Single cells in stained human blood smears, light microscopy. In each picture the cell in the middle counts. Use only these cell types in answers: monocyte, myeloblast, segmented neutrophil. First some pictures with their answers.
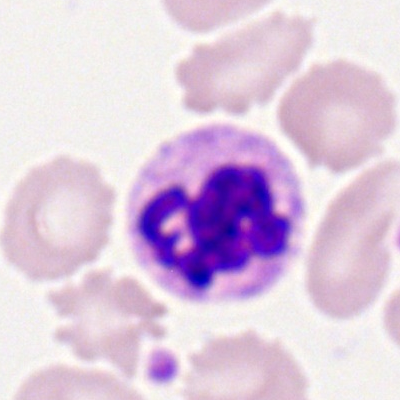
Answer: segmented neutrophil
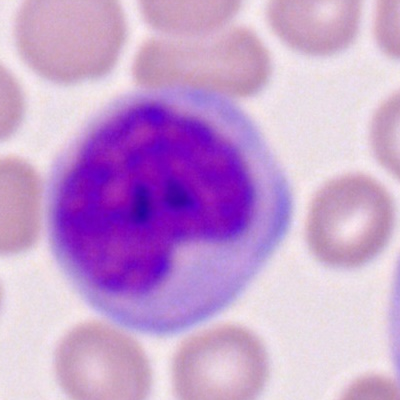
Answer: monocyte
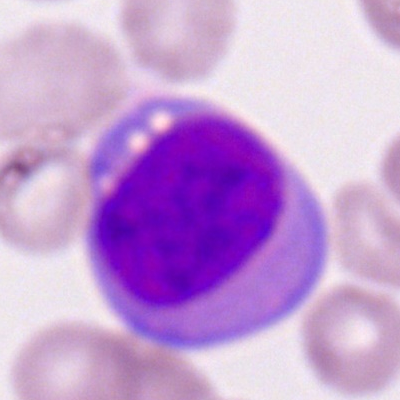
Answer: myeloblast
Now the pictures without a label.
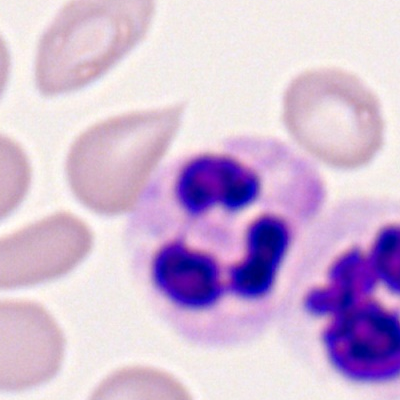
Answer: segmented neutrophil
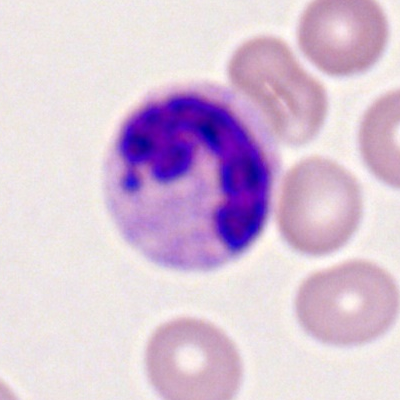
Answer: segmented neutrophil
